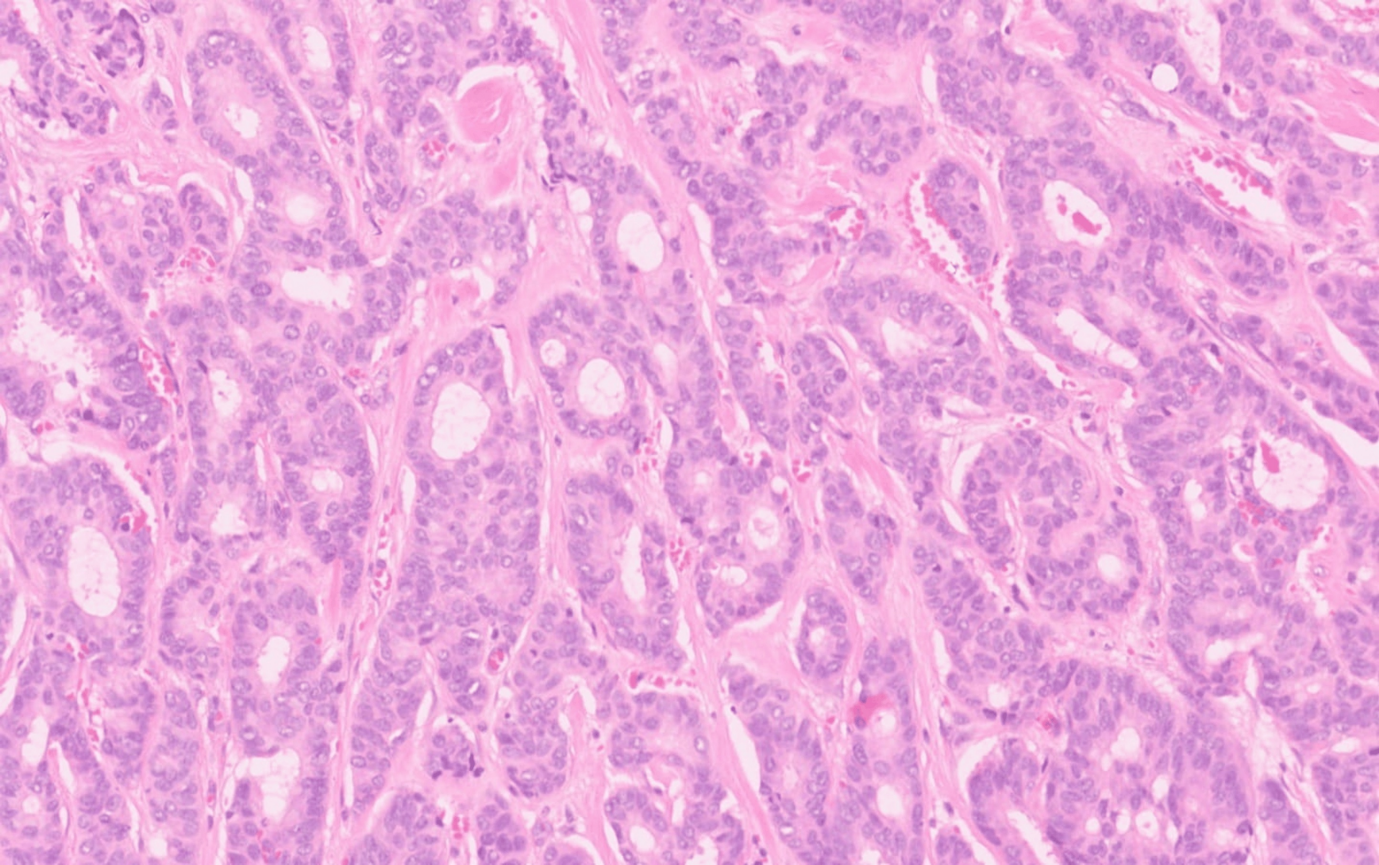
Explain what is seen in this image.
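A tumor built of crowded, back-to-back tubules and glands, lined by epithelial cells and separated only by thin strands of pink fibrous stroma. The stroma carries small capillaries packed with red blood cells. The lining cells are crowded and partly stratified, with oval purple nuclei and pink cytoplasm, and they surround round to slit-like lumens, some holding pale, wispy secretion.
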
